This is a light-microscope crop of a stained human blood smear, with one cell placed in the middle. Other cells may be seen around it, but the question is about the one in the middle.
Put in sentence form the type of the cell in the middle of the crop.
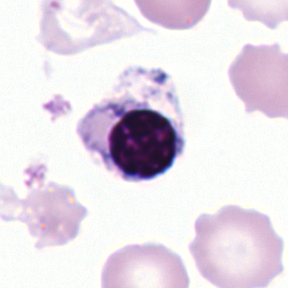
Seen at the centre of the crop is a normoblast.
